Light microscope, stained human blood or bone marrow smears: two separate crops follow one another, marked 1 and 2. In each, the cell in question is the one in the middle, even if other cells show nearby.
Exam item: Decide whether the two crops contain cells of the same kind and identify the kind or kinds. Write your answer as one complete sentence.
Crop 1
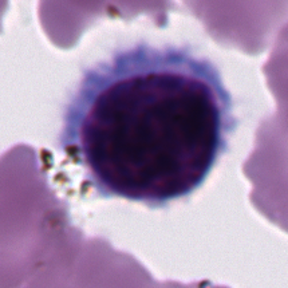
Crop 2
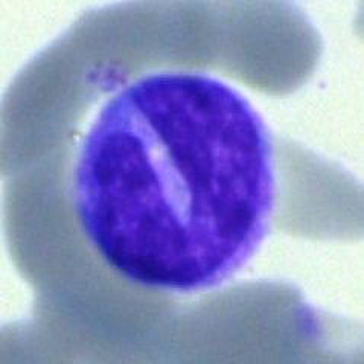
No, in fact crop 1 shows a hairy cell, and crop 2 shows a monocyte.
